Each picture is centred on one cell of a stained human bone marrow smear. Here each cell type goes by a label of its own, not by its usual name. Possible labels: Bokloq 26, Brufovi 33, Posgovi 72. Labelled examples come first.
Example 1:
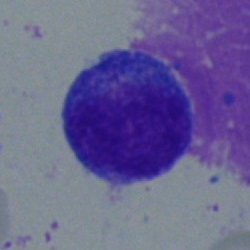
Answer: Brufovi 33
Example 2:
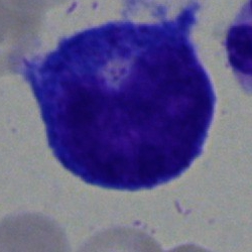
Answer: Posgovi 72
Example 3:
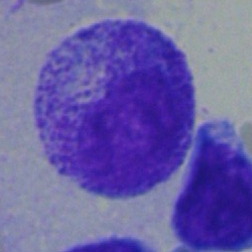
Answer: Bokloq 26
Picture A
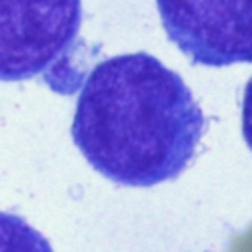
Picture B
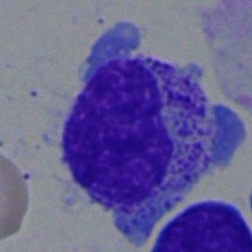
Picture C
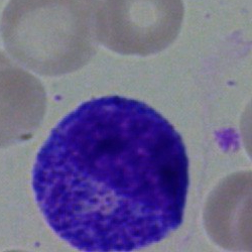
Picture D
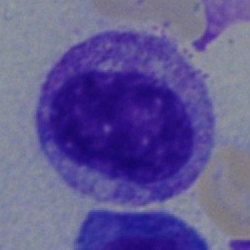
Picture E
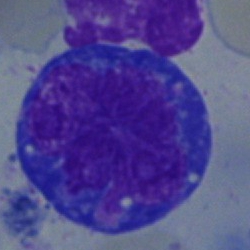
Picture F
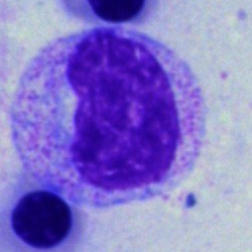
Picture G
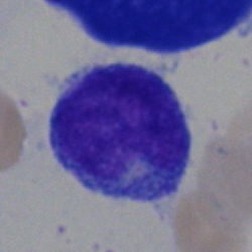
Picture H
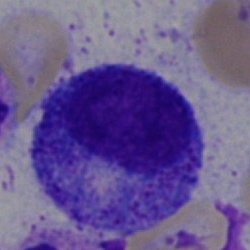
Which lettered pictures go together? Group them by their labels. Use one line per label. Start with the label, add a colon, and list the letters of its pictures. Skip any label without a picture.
Bokloq 26: B, C, D, F
Brufovi 33: A, E, G
Posgovi 72: H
